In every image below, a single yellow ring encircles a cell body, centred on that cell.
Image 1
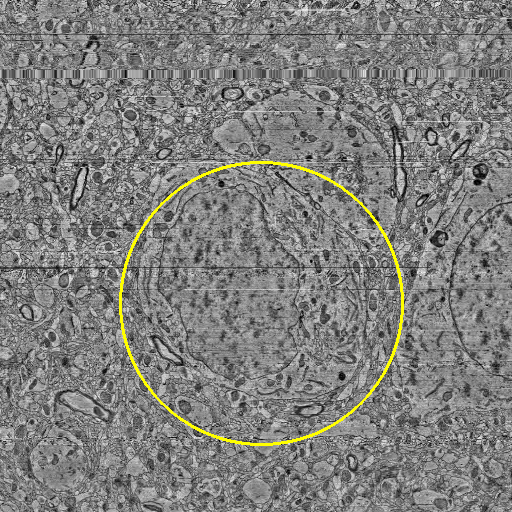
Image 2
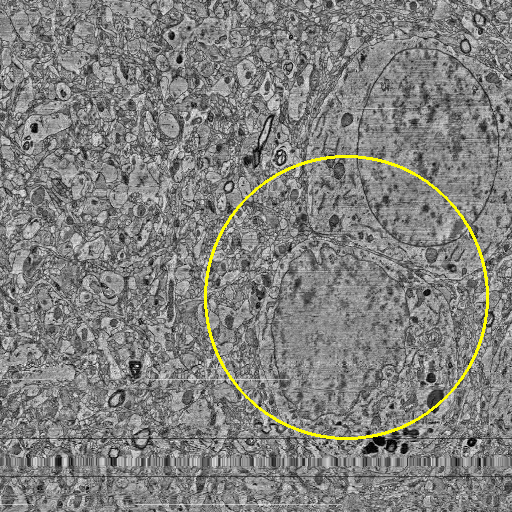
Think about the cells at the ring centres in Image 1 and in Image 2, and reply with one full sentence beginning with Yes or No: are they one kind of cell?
Yes, the cells centred in the rings of Image 1 and Image 2 are one kind of cell.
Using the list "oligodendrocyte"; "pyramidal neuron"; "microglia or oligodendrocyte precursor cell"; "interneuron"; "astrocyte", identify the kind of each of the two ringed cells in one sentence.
Each of the two cells is an interneuron.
